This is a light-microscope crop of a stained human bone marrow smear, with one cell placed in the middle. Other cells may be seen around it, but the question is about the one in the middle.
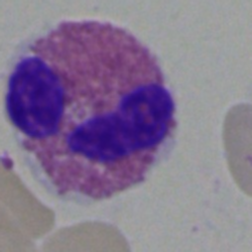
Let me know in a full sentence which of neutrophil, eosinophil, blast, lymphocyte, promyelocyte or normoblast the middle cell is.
As for the central cell, it is an eosinophil.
